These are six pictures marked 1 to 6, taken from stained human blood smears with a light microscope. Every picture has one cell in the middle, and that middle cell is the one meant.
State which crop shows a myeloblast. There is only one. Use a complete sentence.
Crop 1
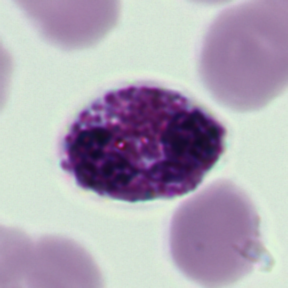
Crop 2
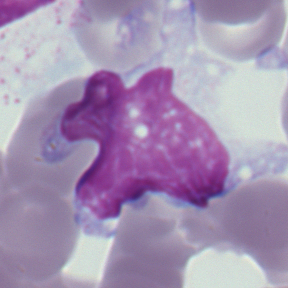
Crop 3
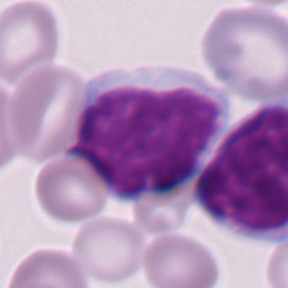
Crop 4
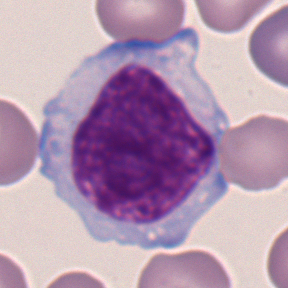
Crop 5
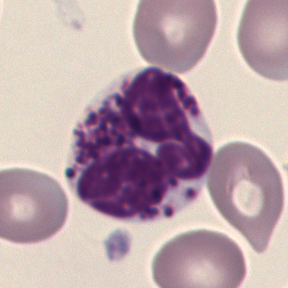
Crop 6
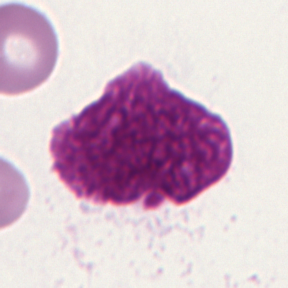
On review of the set, crop 4 is the one showing a myeloblast.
